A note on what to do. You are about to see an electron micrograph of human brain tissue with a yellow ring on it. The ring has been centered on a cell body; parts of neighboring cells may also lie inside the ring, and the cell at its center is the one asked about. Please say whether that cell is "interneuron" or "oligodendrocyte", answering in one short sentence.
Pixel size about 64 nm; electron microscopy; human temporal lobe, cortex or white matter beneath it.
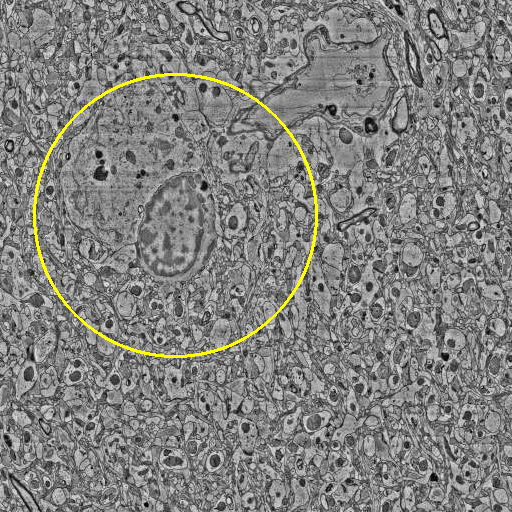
The yellow ring sits on an oligodendrocyte.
